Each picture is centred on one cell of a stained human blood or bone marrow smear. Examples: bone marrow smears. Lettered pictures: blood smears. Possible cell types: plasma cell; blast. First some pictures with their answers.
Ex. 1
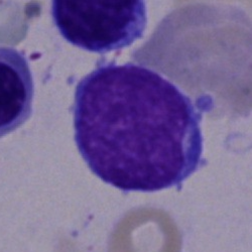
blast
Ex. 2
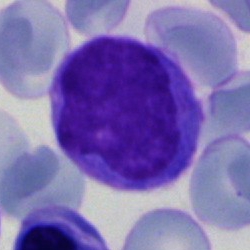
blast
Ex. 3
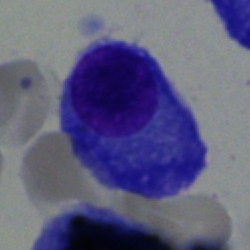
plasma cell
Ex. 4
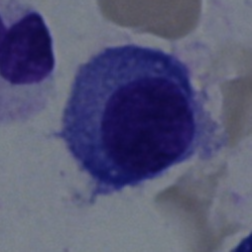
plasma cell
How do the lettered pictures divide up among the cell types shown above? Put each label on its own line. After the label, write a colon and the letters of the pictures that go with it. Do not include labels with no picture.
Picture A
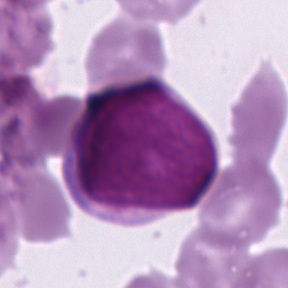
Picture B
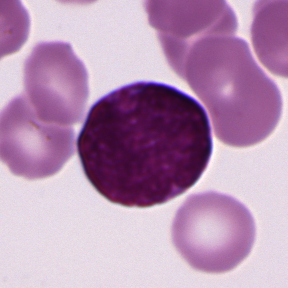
blast: A, B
